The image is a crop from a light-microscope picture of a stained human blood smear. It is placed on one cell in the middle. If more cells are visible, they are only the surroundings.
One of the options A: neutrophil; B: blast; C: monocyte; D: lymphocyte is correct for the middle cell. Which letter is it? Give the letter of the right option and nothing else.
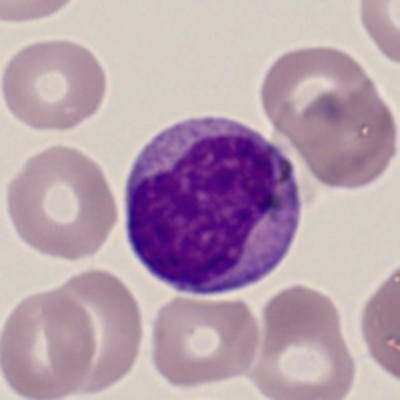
B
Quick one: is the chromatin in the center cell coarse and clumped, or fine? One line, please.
Its nuclear chromatin is gathered into coarse clumps.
